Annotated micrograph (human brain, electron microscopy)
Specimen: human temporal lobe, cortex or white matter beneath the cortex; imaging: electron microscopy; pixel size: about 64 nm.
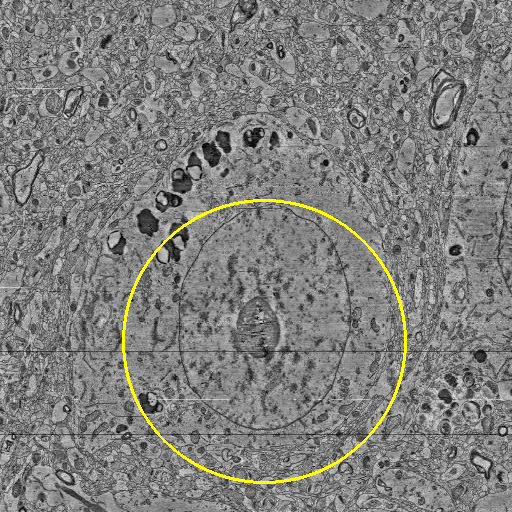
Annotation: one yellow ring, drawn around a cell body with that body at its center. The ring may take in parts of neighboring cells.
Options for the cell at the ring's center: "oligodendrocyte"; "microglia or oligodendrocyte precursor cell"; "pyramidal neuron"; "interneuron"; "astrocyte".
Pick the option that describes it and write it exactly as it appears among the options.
pyramidal neuron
